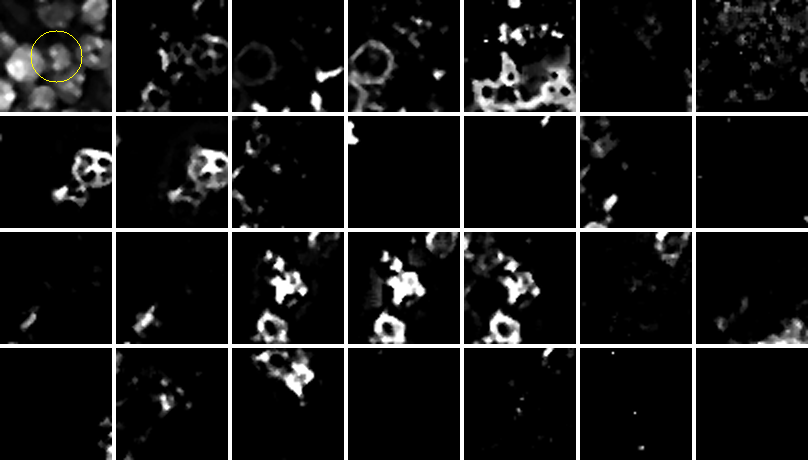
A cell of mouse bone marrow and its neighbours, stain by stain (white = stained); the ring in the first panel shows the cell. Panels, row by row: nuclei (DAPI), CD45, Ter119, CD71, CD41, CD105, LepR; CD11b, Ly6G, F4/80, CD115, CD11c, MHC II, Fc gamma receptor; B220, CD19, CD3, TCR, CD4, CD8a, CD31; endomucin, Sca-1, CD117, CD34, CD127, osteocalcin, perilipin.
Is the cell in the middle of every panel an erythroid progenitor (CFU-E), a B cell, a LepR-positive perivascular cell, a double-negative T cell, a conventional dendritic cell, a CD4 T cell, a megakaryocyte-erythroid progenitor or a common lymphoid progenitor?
It is a CD4 T cell.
